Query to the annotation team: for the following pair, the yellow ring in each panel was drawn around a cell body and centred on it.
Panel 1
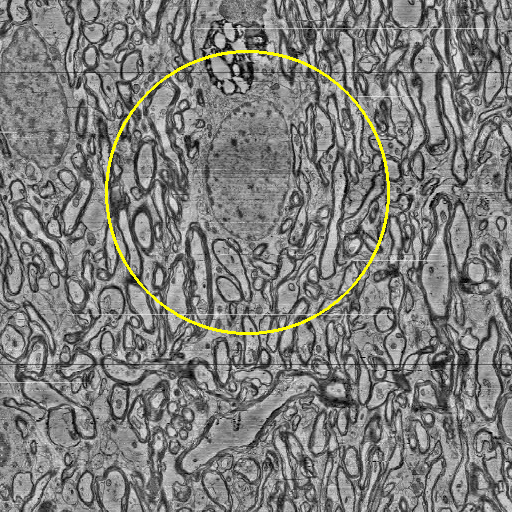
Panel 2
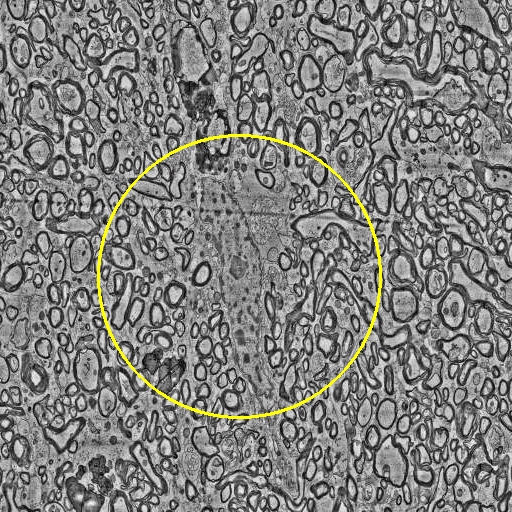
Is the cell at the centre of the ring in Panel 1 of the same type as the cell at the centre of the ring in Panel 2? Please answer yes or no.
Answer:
yes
